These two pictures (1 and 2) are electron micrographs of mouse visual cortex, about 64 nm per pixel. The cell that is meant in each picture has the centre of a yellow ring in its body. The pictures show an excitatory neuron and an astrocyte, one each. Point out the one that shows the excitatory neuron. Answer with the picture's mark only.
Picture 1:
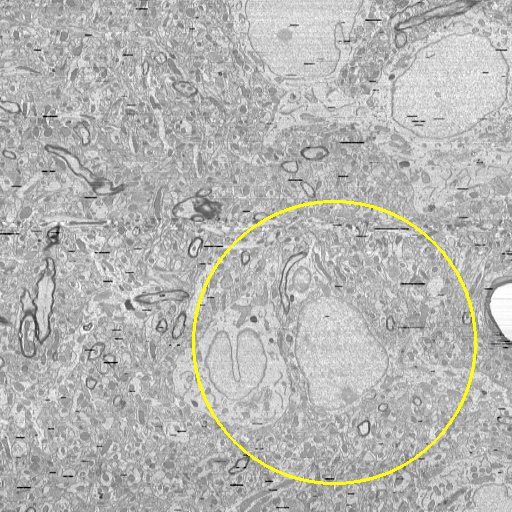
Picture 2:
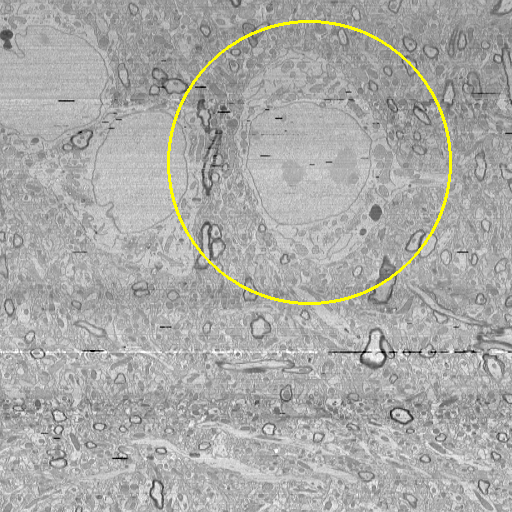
2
